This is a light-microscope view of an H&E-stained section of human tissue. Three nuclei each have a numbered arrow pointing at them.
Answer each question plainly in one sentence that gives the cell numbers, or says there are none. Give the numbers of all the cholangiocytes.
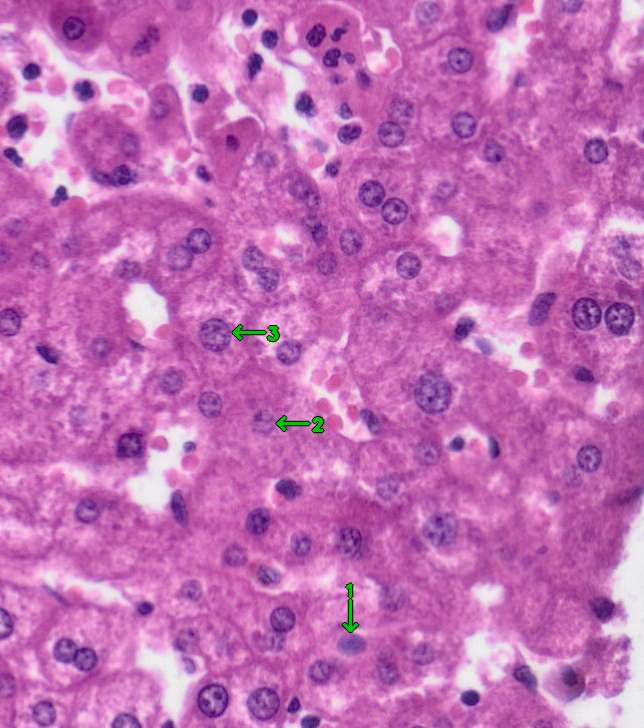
The numbered cells are not cholangiocytes, not even one of them.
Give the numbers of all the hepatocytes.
The cells numbered 2 and 3 are typed as hepatocytes.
